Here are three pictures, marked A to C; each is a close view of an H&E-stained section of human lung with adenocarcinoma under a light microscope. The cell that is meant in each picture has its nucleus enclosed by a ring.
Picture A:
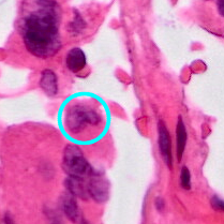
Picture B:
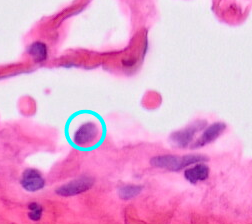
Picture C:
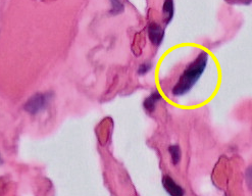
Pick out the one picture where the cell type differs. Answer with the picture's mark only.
A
